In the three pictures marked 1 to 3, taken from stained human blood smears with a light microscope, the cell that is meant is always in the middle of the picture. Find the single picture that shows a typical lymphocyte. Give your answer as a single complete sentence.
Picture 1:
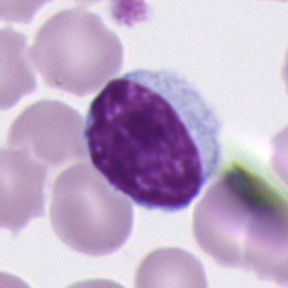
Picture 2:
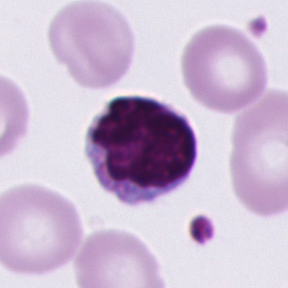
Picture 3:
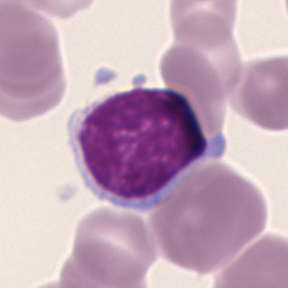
Picture 1 shows the typical lymphocyte.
